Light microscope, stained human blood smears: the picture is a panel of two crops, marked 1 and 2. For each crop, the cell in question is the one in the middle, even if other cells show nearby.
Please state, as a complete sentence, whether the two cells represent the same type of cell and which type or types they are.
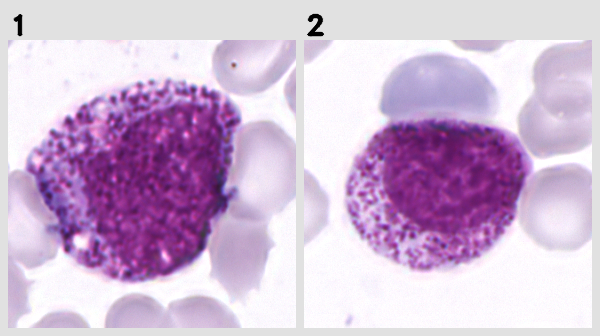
No, the cell in crop 1 is a promyelocyte, and the cell in crop 2 is a myelocyte.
